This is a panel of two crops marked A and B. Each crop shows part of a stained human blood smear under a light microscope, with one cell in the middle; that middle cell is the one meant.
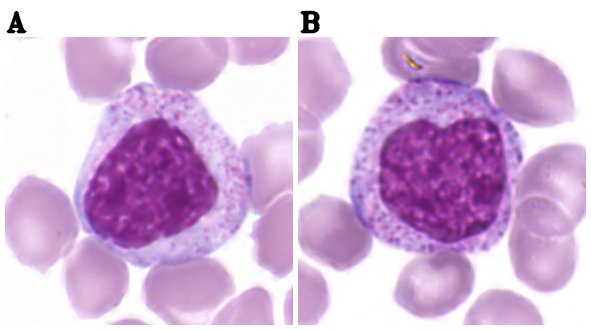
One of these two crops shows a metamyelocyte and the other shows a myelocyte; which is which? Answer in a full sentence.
Crop A holds a metamyelocyte; crop B holds a myelocyte.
